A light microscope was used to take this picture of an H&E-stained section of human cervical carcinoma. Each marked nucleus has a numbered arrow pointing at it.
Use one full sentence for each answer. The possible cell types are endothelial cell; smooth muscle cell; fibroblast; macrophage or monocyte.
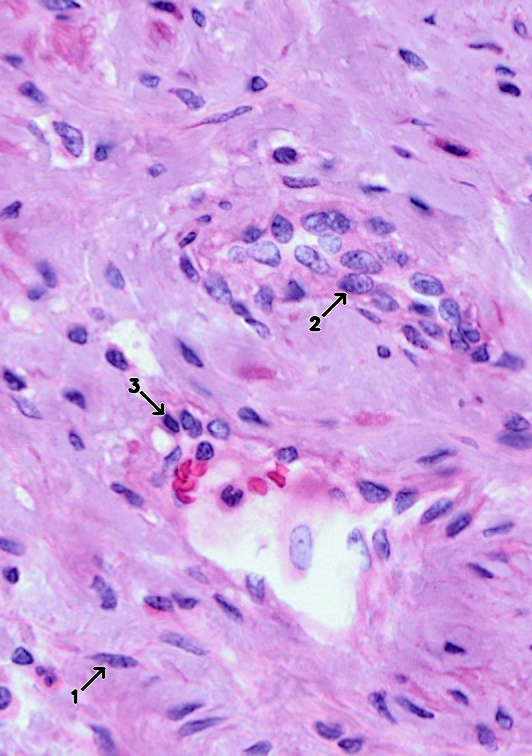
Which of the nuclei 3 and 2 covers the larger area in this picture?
Of the two, number 2 is bigger and takes up about 2.5 times the area of number 3.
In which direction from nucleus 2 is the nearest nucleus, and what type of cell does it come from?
The nearest nucleus is that of an endothelial cell and lies above nucleus 2.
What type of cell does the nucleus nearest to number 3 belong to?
Closest to number 3 lies the nucleus of an endothelial cell.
